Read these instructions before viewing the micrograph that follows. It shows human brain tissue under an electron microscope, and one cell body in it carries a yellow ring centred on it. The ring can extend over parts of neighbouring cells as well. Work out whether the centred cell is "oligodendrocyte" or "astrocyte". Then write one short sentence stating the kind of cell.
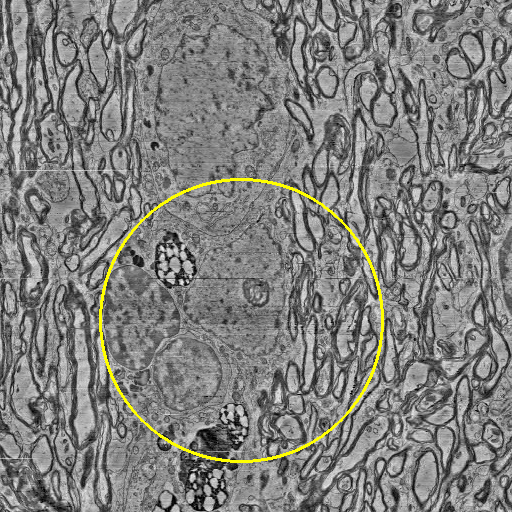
The ringed cell is an astrocyte.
